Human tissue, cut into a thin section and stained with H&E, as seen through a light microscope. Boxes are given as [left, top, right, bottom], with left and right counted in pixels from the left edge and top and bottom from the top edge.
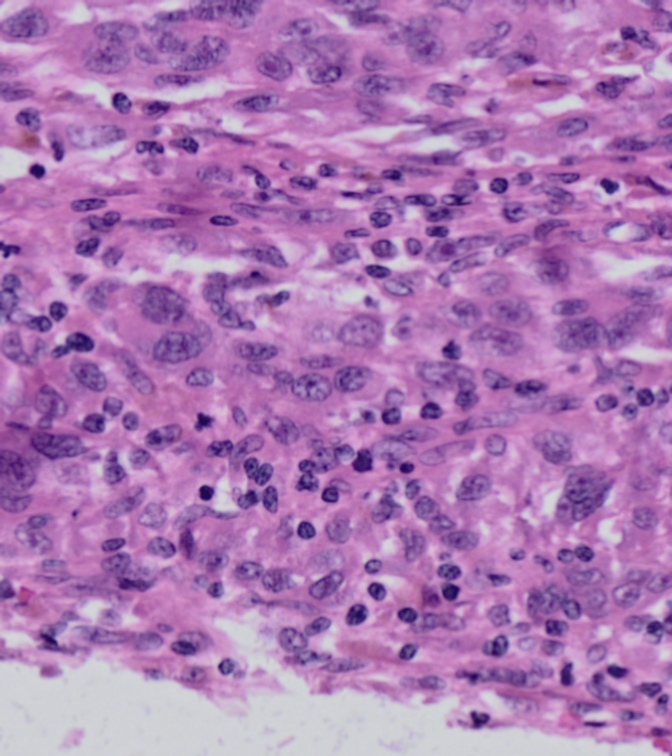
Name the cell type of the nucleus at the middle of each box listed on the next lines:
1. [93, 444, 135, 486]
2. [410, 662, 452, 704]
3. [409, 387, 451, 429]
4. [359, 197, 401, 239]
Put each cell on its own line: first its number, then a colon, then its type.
1: melanoma cell
2: macrophage or monocyte
3: lymphocyte
4: lymphocyte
